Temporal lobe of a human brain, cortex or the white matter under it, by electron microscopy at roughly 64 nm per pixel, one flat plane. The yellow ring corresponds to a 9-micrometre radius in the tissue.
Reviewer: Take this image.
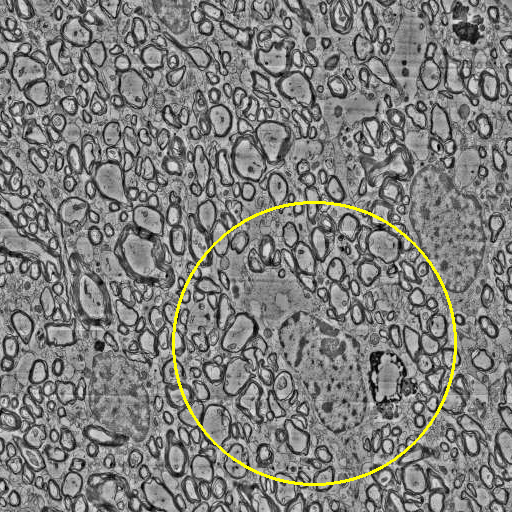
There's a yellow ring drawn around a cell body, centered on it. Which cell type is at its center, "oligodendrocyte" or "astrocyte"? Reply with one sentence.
At the center of the yellow ring is an astrocyte.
